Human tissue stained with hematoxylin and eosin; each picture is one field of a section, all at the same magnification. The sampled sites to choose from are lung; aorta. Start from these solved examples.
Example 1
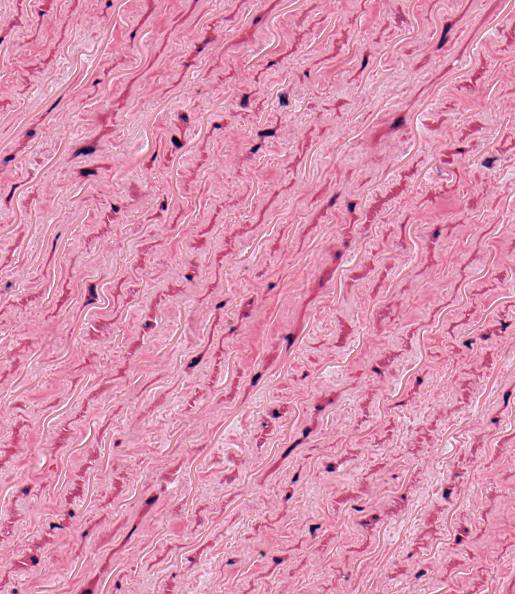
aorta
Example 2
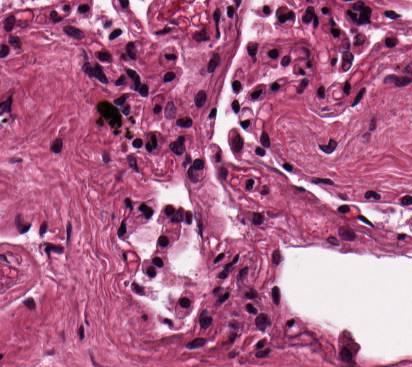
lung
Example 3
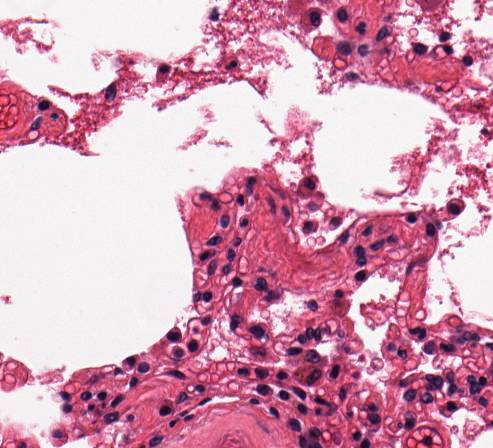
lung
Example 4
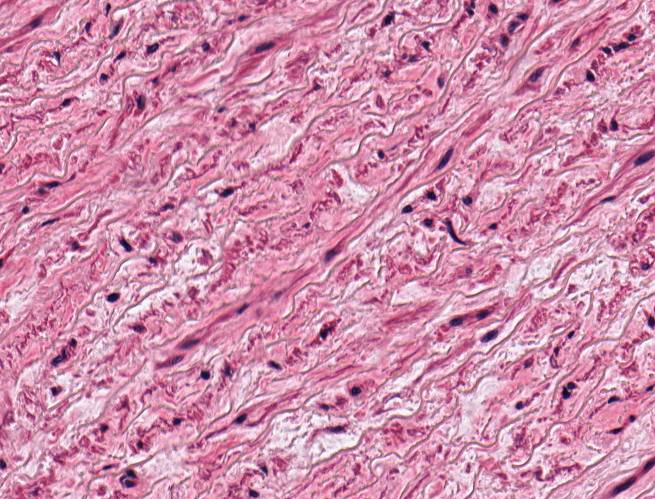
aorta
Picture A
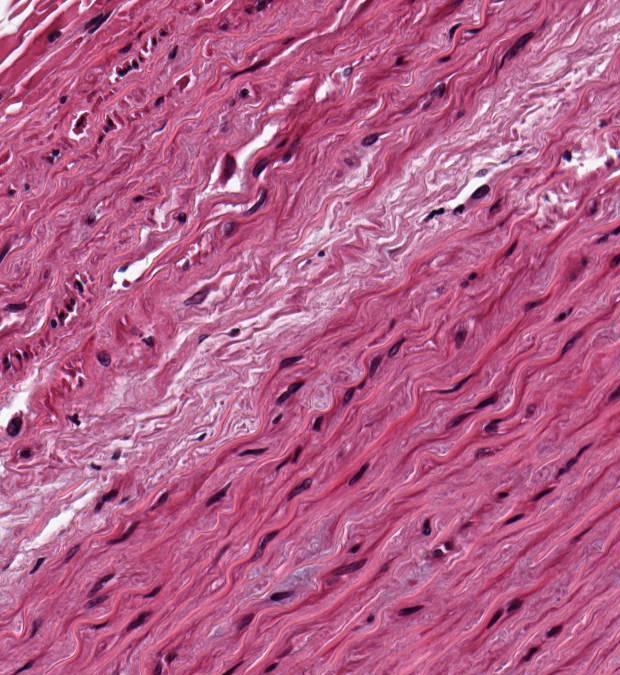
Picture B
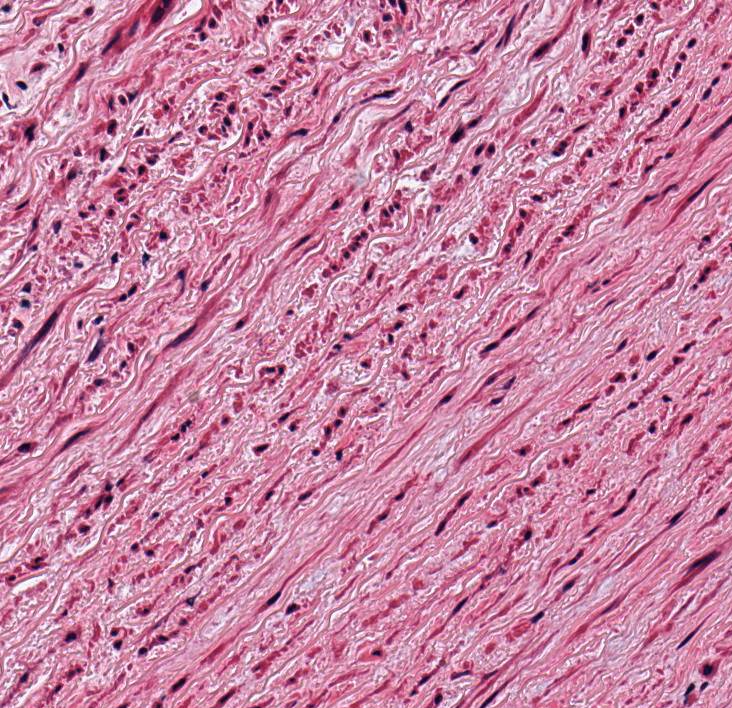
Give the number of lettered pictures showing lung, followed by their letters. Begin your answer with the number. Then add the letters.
0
